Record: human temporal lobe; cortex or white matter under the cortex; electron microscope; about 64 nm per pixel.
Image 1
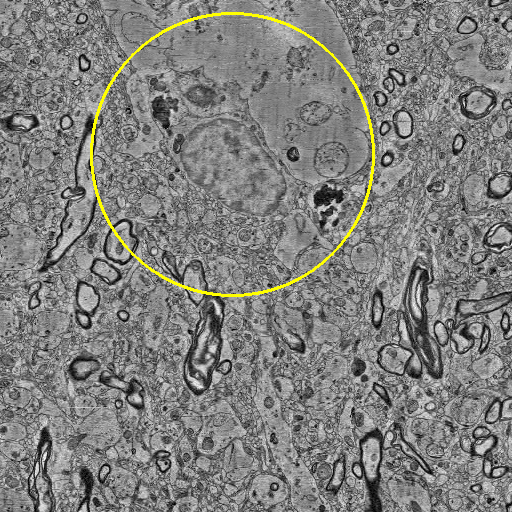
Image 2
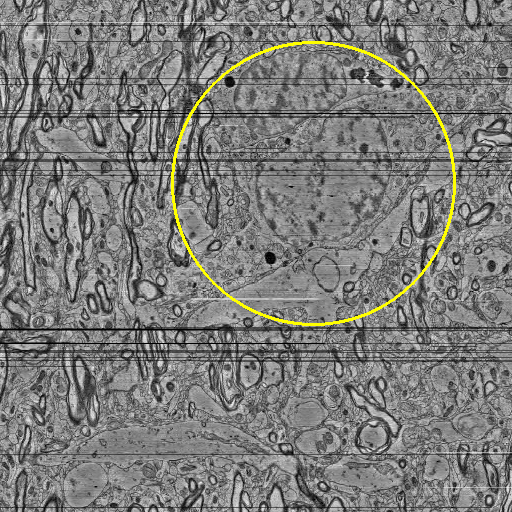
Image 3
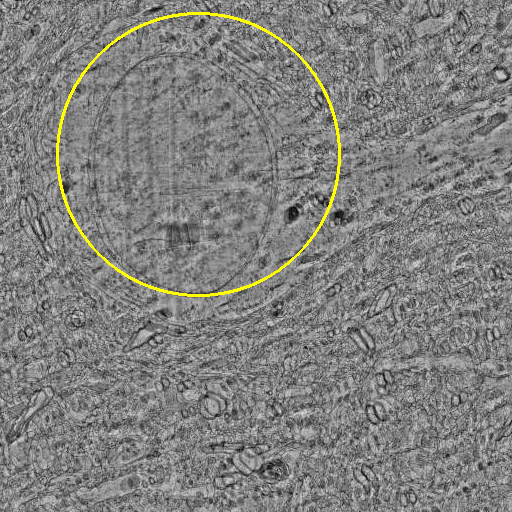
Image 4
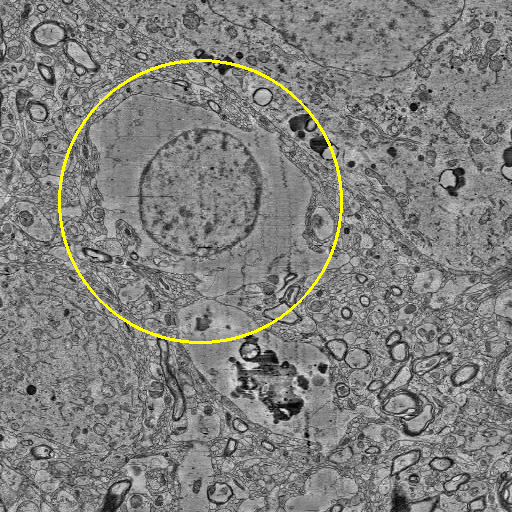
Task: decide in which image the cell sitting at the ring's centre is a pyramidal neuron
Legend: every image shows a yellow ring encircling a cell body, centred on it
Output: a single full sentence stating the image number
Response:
In image 3, the cell at the middle of the ring is the match.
